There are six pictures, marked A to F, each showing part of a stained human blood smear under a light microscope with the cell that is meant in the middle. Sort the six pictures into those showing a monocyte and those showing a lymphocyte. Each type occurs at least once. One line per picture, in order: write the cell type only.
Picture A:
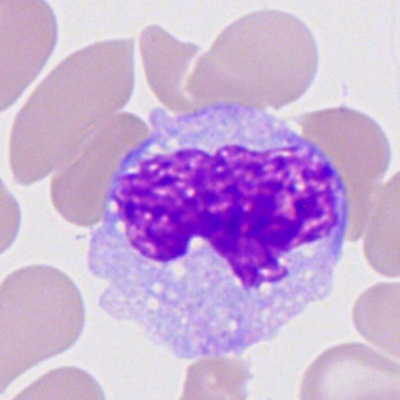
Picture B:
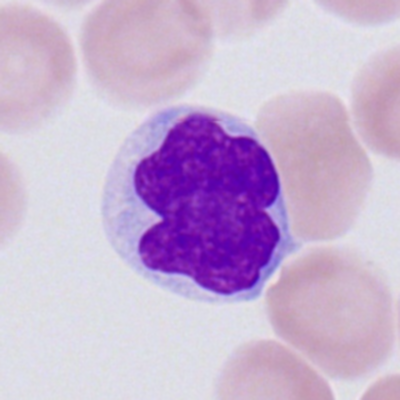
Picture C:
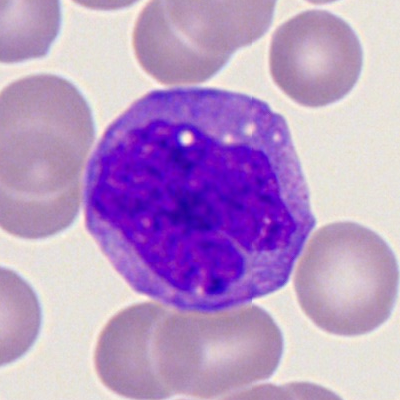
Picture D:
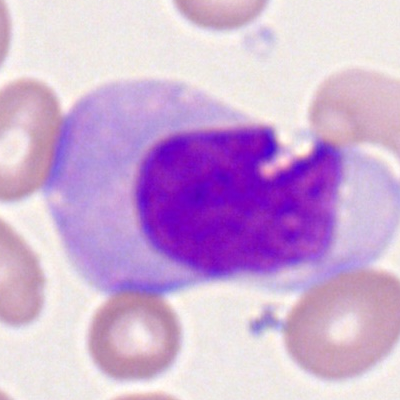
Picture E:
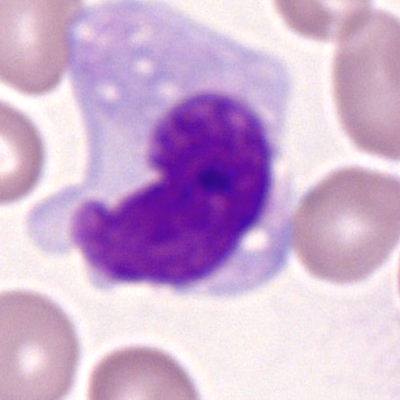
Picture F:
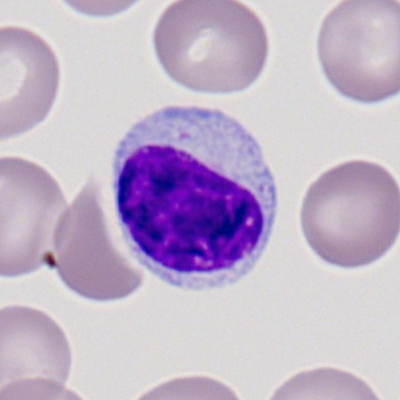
monocyte
lymphocyte
monocyte
monocyte
monocyte
lymphocyte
